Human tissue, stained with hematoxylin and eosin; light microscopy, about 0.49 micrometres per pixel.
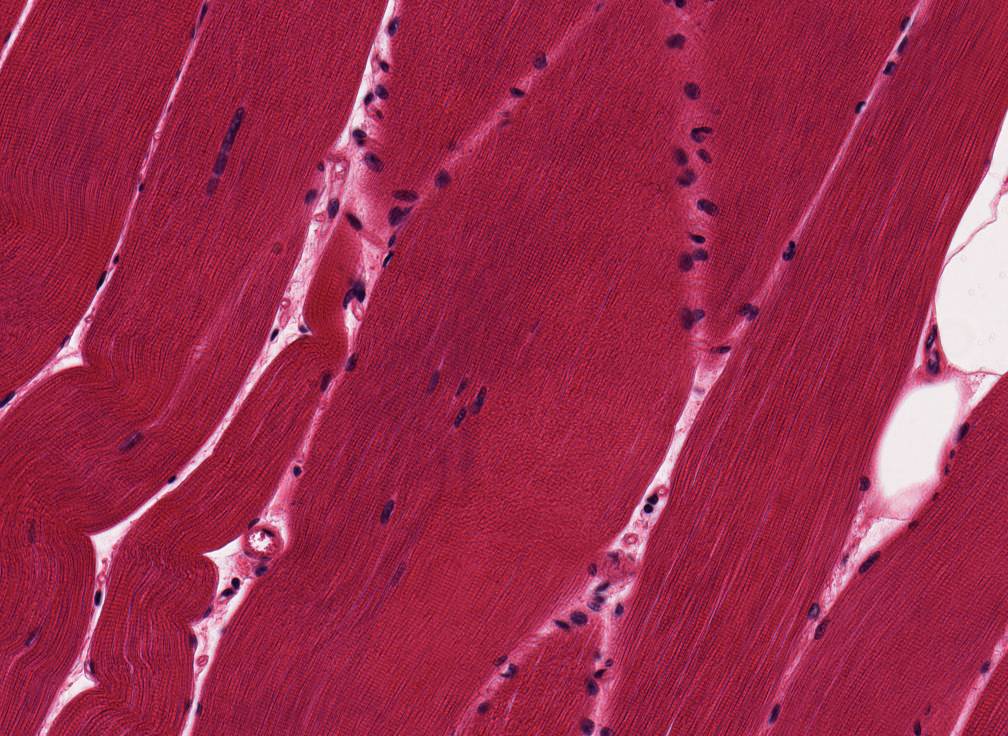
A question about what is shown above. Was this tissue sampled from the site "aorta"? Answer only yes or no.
no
